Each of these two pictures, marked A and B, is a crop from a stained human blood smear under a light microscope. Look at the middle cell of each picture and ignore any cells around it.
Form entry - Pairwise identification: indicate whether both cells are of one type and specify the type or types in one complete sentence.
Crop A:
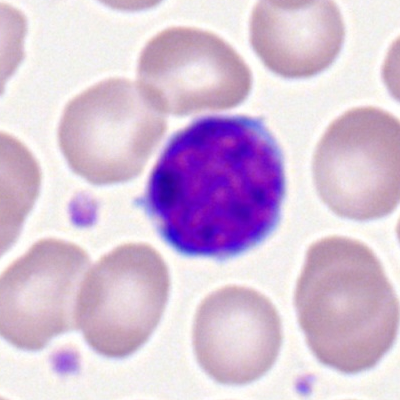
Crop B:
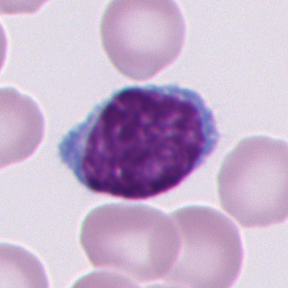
Yes, the two crops show lymphocytes, one cell each.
